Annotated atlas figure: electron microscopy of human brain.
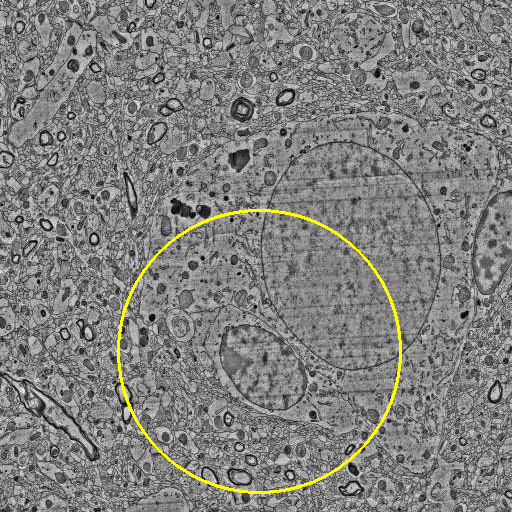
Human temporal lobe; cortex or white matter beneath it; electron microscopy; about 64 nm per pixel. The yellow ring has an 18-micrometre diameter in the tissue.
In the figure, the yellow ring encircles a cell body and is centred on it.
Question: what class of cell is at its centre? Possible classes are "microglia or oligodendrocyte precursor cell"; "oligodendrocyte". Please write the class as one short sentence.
The yellow ring is drawn around a microglial cell or oligodendrocyte precursor cell.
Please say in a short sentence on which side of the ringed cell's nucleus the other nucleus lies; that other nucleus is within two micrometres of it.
That nucleus lies to the upper right of it.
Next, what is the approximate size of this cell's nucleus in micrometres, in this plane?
Clearly longer than it is wide in this plane, the nucleus measures roughly 6 by 4 micrometres.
